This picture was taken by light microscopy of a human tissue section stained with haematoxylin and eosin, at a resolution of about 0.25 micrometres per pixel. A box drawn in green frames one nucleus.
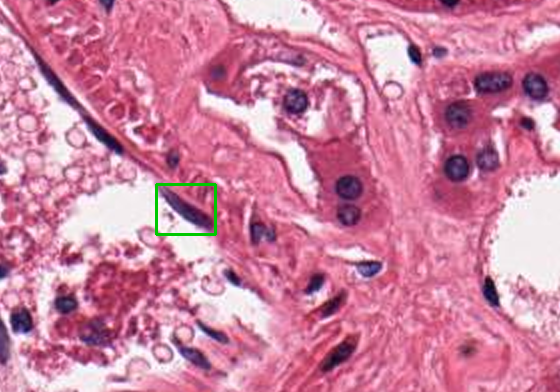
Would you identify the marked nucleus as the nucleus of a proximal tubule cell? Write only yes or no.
no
